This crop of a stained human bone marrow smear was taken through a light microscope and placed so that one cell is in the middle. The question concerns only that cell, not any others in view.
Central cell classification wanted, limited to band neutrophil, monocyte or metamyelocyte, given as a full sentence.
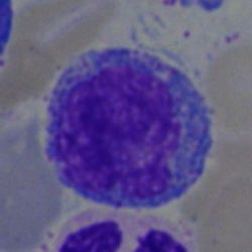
The cell of interest, located centrally, is a monocyte.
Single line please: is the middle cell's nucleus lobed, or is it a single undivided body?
One compact mass makes up the whole nucleus, round, oval or kidney-shaped.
